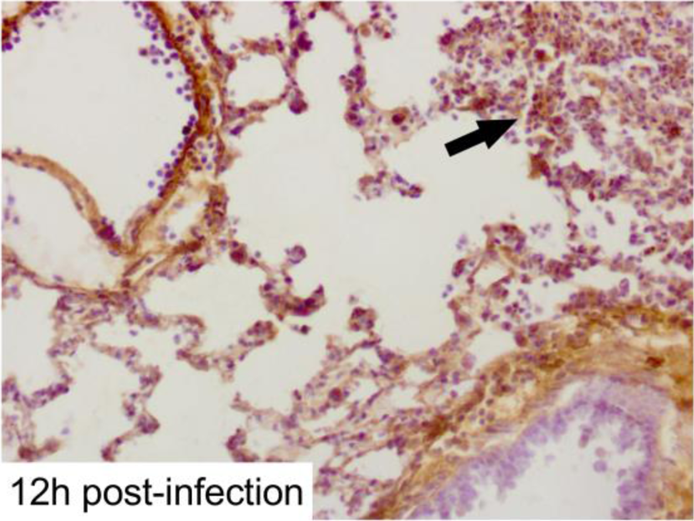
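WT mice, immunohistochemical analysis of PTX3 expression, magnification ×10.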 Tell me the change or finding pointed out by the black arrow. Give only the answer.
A: Inflammatory cell infiltrates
